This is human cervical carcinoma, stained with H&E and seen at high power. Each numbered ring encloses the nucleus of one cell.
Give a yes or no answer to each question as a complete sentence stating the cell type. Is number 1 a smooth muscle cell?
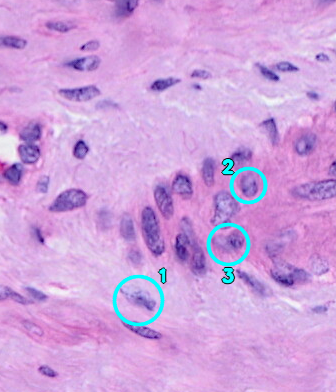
No, the cell under number 1 is a fibroblast instead of a smooth muscle cell.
